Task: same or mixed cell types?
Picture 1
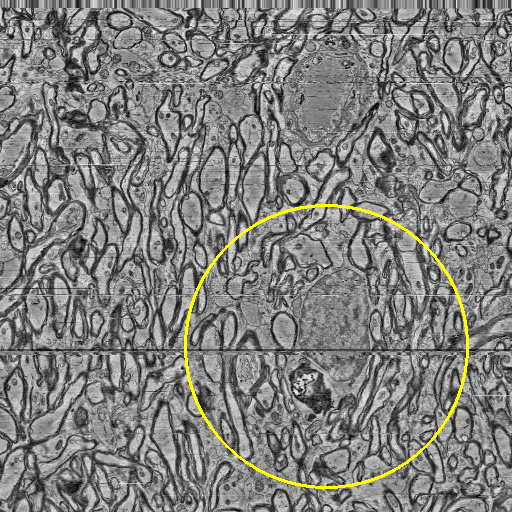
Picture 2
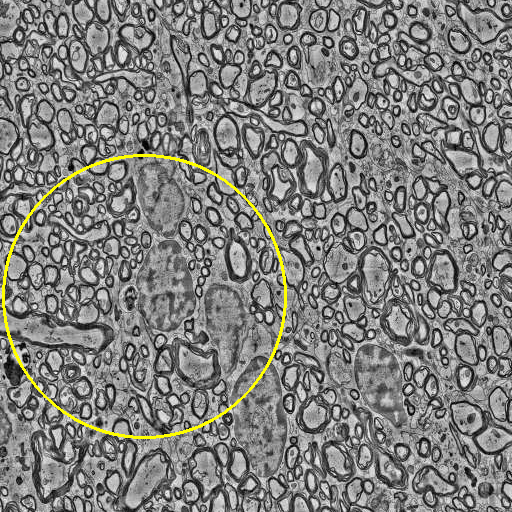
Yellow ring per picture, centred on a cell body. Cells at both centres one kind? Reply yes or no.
no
